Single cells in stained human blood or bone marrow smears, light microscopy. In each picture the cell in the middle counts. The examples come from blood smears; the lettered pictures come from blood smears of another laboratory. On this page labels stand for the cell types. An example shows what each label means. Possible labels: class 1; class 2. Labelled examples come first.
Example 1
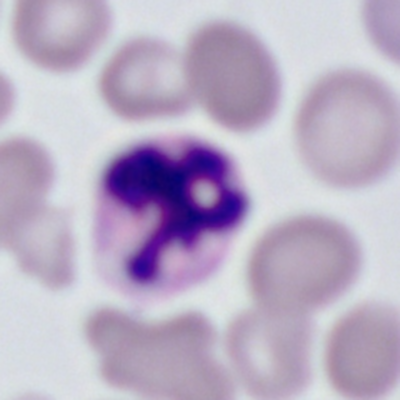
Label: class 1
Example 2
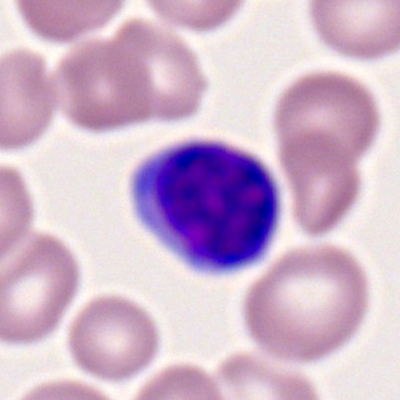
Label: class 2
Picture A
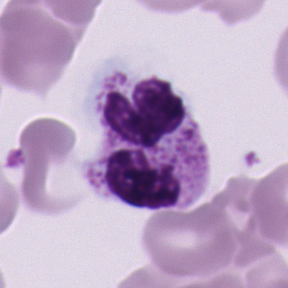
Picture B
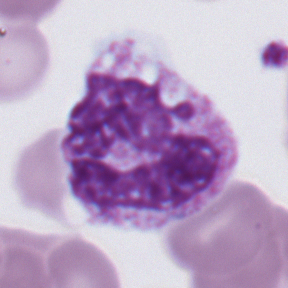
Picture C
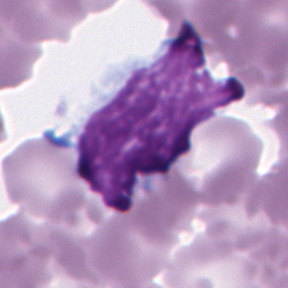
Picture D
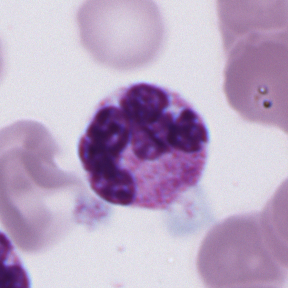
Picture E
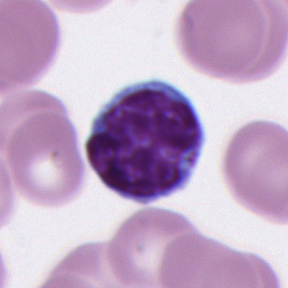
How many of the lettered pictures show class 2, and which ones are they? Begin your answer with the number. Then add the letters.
2: C, E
